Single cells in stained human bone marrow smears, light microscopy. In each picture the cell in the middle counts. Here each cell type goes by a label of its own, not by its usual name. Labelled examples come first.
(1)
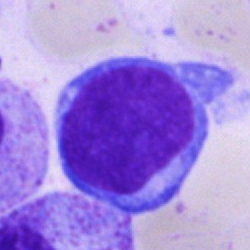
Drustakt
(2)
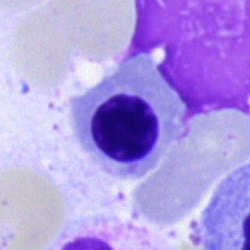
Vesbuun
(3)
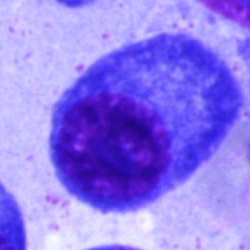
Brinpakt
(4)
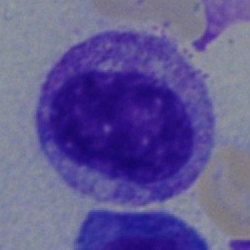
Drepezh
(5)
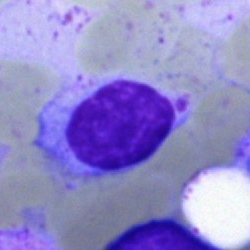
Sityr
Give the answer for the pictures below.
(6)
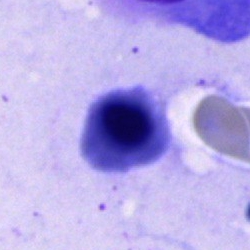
Vesbuun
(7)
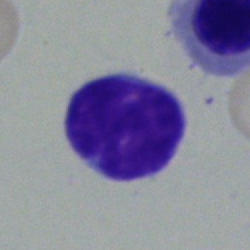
Sityr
